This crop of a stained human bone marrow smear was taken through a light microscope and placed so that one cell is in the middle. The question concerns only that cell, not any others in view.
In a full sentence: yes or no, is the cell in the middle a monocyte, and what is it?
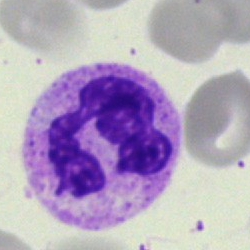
No, the cell at the centre of the crop is a segmented neutrophil and not a monocyte.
